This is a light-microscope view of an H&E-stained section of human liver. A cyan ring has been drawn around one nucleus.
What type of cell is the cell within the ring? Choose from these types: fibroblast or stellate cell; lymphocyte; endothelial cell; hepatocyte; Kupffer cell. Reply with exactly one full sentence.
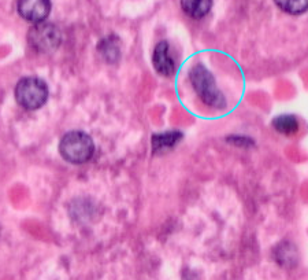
The correct response here is that the cell within the ring is a Kupffer cell.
